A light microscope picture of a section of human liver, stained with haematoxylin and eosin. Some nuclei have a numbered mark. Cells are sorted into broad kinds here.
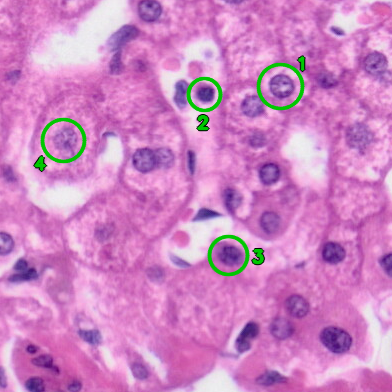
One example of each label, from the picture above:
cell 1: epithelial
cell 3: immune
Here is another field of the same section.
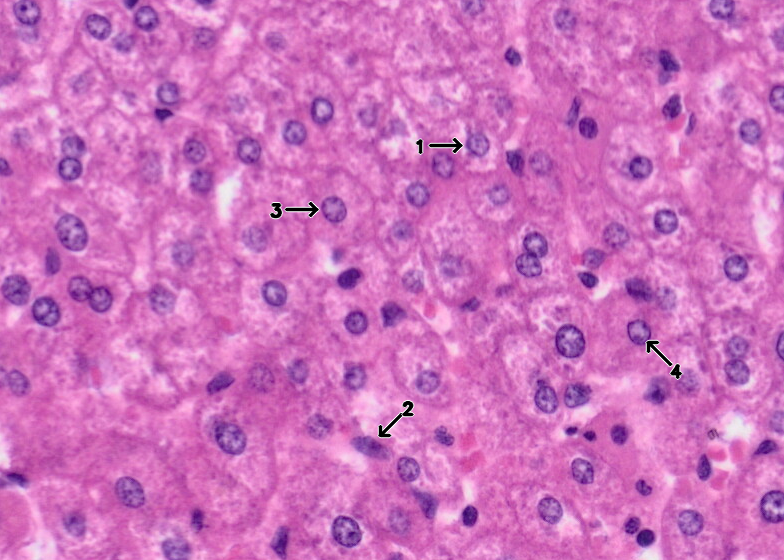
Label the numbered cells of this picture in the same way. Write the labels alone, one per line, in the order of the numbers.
epithelial
immune
epithelial
epithelial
